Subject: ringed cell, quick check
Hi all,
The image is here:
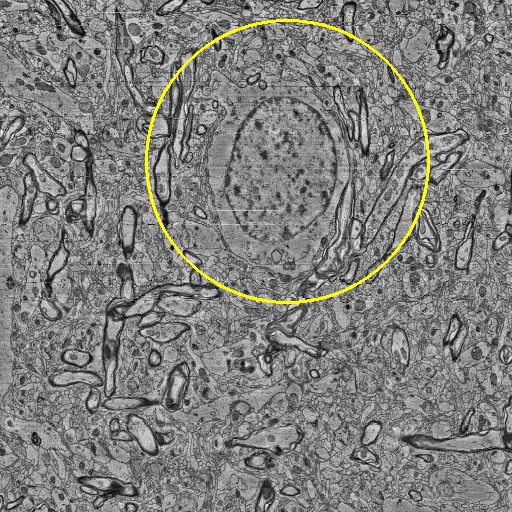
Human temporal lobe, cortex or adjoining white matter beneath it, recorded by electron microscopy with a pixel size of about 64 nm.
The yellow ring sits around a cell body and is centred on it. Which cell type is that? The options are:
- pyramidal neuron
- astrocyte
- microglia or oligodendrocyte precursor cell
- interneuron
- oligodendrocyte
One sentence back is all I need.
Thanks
That ringed cell is an astrocyte.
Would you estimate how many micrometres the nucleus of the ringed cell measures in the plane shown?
The nucleus measures about 10 by 7 micrometres in this plane.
